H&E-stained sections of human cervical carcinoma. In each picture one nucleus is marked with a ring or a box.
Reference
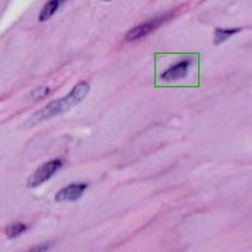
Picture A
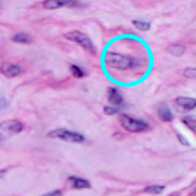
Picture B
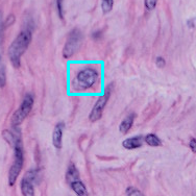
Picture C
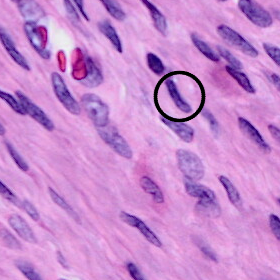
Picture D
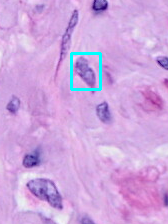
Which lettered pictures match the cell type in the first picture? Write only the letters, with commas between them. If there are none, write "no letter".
C, D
